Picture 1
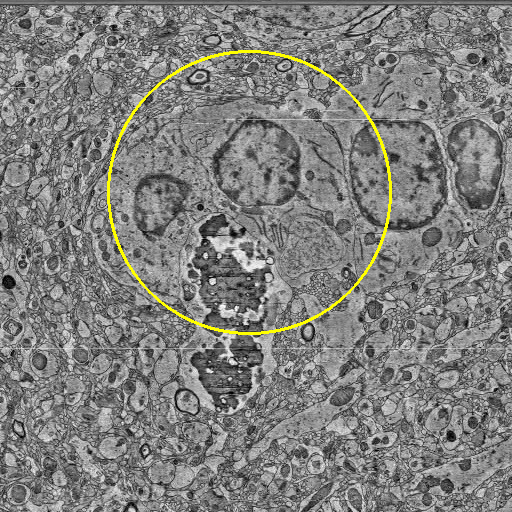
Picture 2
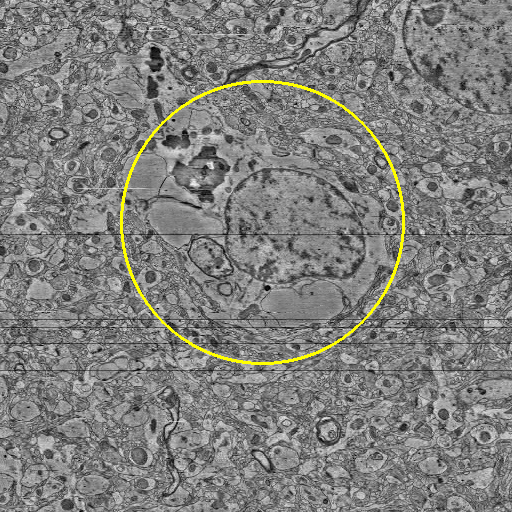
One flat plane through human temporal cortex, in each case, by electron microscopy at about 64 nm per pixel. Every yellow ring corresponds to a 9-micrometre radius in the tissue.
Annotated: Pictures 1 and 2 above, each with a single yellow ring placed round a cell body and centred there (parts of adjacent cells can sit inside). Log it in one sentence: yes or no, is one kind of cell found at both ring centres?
Yes, the ring centres of the two pictures hold cells of one kind.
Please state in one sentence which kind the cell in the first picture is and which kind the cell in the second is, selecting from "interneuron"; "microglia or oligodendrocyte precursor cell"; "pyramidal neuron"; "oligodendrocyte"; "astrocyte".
Each of the two rings is centred on an astrocyte.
